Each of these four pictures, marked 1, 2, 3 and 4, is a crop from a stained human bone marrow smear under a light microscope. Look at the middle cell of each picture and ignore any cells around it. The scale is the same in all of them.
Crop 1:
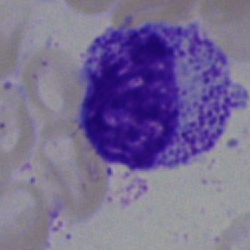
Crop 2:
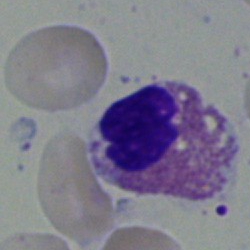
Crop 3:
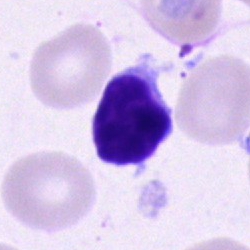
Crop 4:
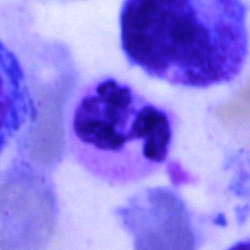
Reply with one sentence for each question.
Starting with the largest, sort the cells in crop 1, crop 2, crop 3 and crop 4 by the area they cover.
Going down, they run 1, 2, 4, 3.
